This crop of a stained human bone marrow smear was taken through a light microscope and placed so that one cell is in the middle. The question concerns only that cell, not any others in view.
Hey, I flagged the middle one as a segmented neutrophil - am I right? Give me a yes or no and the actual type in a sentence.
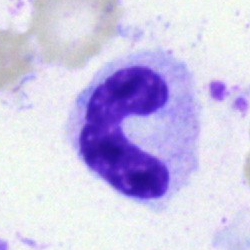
No, the cell found centrally in the crop is a band neutrophil, not a segmented neutrophil.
